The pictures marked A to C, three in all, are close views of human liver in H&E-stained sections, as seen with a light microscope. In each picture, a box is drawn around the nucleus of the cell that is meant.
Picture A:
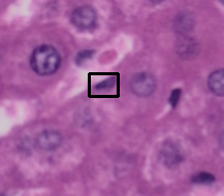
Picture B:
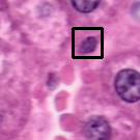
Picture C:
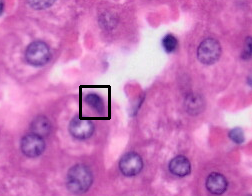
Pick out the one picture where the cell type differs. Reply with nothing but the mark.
B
